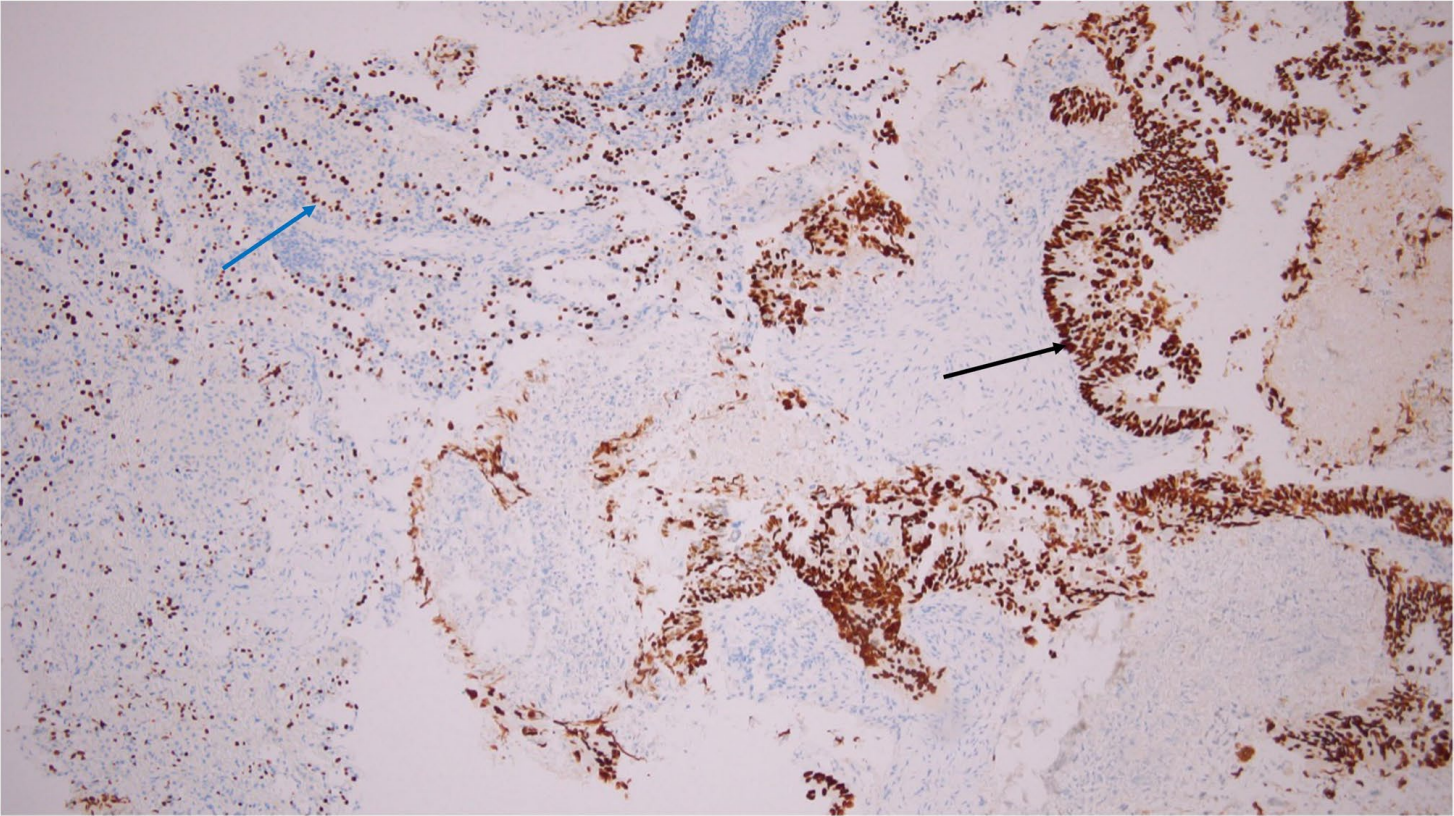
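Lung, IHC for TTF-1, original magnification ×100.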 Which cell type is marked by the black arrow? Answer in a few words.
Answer: Tumor cells.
